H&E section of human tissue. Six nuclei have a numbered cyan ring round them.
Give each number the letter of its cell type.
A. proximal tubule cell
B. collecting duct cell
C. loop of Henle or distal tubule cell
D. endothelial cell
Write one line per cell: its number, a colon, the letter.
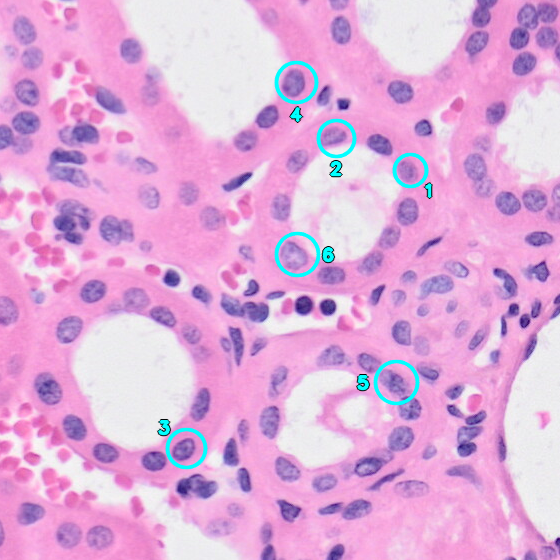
1: C
2: C
3: B
4: C
5: B
6: C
